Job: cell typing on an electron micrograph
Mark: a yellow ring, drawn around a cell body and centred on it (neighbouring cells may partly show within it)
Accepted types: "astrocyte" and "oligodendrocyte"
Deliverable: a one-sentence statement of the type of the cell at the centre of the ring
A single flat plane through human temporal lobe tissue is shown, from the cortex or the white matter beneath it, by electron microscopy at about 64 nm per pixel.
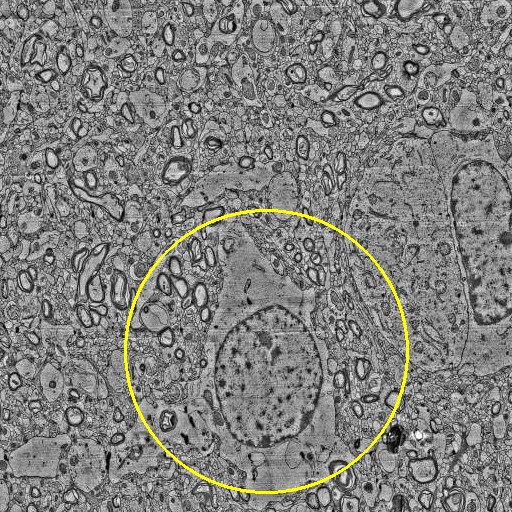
The centred cell body is that of an astrocyte.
